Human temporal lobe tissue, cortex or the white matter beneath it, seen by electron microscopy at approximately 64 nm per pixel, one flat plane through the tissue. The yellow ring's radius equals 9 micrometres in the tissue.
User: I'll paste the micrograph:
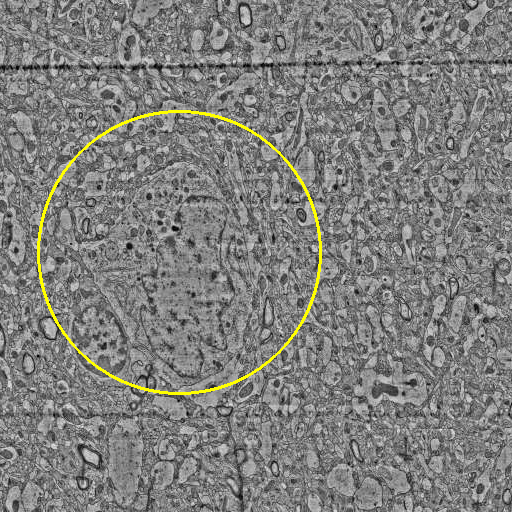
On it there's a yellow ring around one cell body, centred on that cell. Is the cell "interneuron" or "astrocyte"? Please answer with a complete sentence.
The cell ringed in yellow is an interneuron.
